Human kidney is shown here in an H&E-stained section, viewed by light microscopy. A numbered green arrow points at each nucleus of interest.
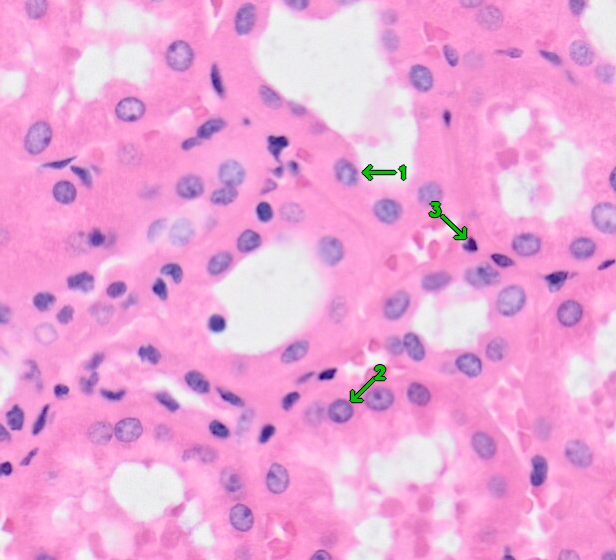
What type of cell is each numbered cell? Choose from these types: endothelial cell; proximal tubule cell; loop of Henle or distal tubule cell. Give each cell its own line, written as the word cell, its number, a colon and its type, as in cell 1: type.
cell 1: loop of Henle or distal tubule cell
cell 2: proximal tubule cell
cell 3: endothelial cell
